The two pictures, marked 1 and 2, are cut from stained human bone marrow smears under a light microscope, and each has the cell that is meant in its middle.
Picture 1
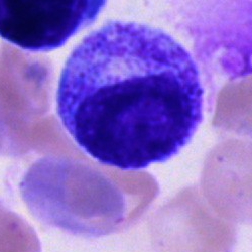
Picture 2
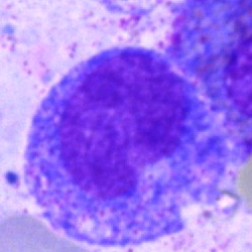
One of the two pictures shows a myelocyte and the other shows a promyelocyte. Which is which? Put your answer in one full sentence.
Picture 1 shows a myelocyte and picture 2 shows a promyelocyte.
